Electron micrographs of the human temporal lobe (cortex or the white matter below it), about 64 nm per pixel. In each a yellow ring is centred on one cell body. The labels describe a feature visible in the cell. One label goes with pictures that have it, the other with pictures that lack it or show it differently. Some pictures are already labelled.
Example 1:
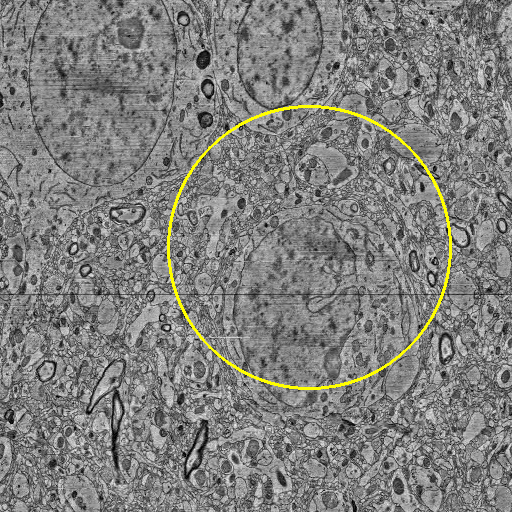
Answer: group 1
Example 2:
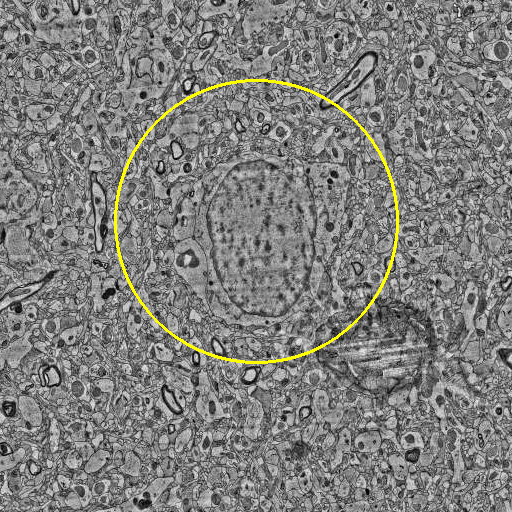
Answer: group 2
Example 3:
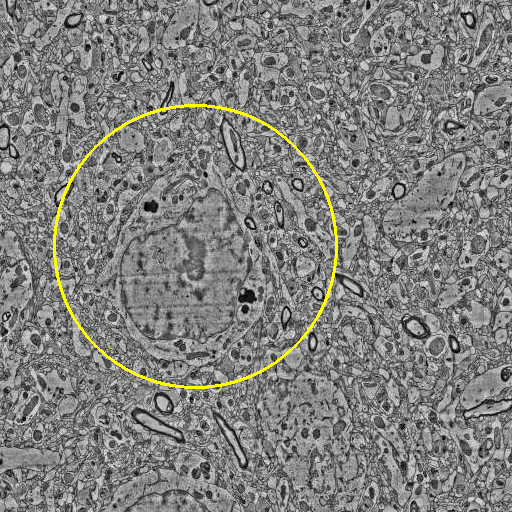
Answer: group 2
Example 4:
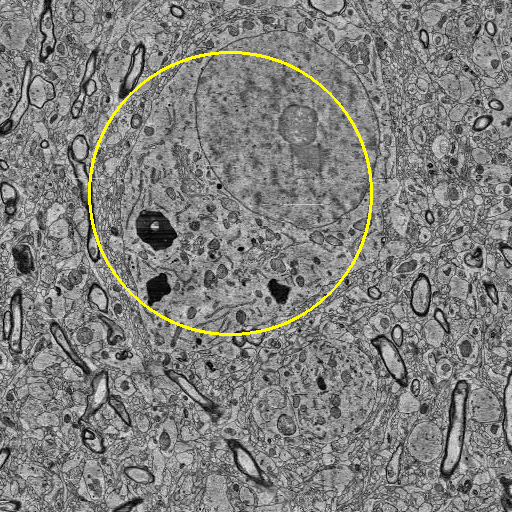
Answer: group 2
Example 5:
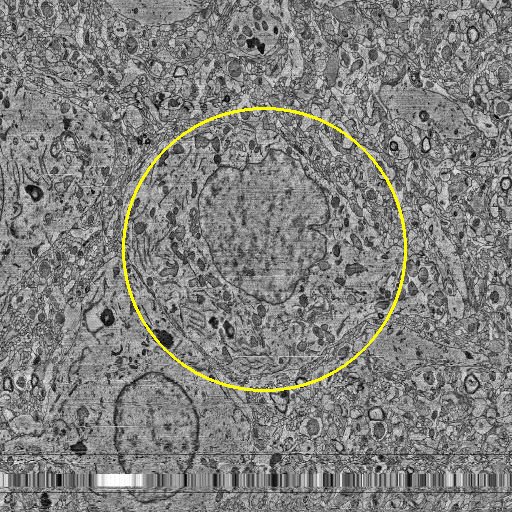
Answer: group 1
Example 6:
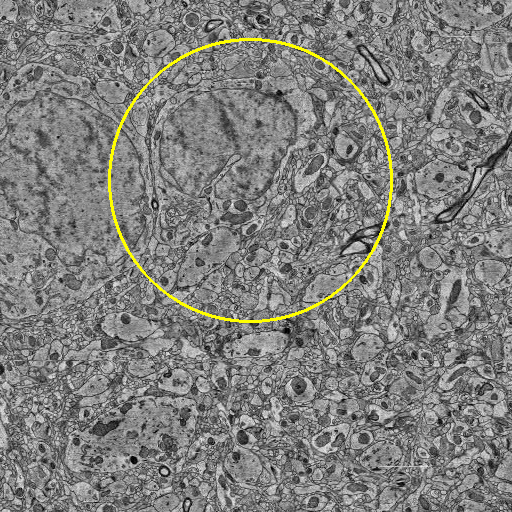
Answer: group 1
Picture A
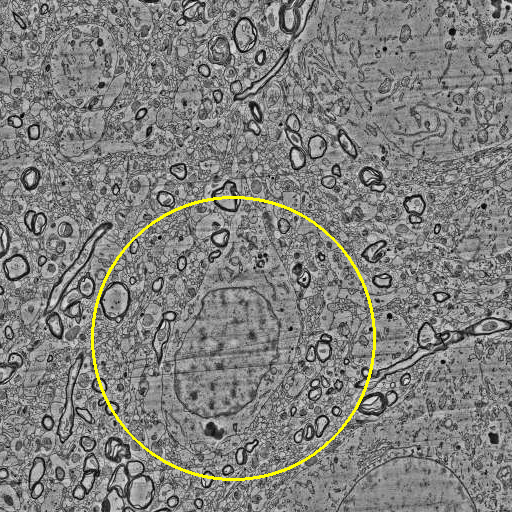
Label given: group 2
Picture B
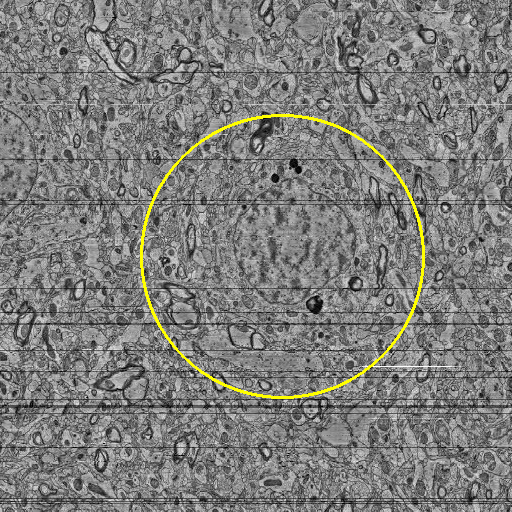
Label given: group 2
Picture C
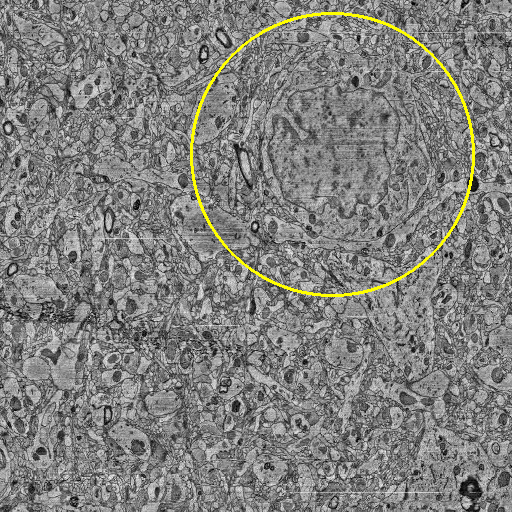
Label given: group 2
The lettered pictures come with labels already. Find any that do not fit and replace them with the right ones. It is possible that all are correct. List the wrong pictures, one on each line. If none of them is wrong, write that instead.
Wrong: C (group 2); correct: group 1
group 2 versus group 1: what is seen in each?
group 2, smooth nuclear envelopes without deep folds; group 1, deeply folded or indented nuclear envelopes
